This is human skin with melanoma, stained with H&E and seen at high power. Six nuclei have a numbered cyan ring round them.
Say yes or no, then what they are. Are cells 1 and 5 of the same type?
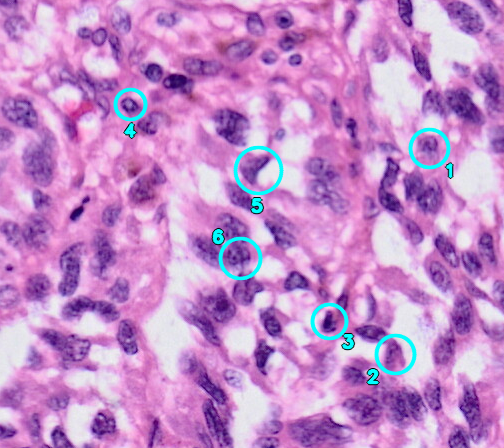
Yes, both are melanoma cells.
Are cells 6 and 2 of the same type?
Yes, both are melanoma cells.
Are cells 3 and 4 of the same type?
Yes, both are lymphocytes.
